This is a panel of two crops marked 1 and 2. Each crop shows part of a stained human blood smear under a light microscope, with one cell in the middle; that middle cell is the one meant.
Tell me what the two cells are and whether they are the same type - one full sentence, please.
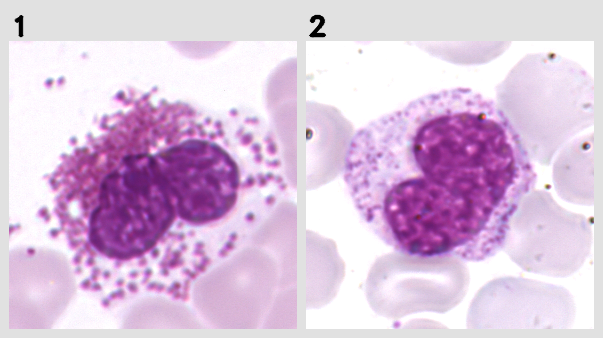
No, crop 1 holds an eosinophil, and a band neutrophil occupies crop 2.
